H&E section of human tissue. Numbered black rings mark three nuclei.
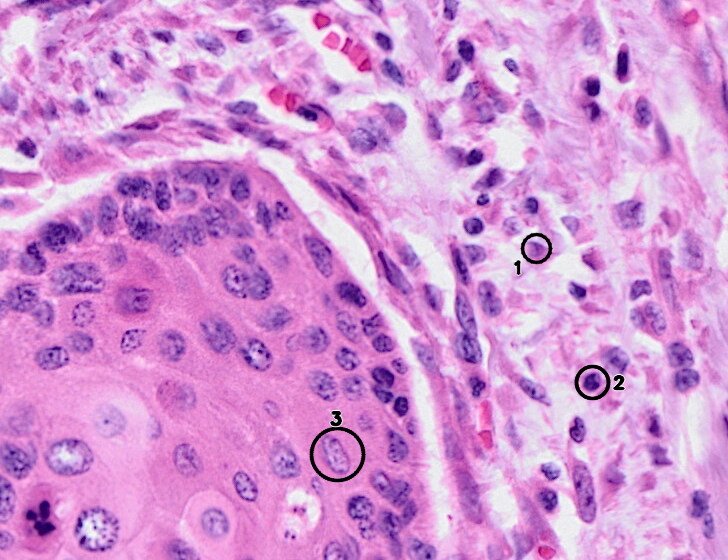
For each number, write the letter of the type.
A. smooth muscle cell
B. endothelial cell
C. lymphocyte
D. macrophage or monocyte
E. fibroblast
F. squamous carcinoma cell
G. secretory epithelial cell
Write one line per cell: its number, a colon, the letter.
1: E
2: C
3: F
